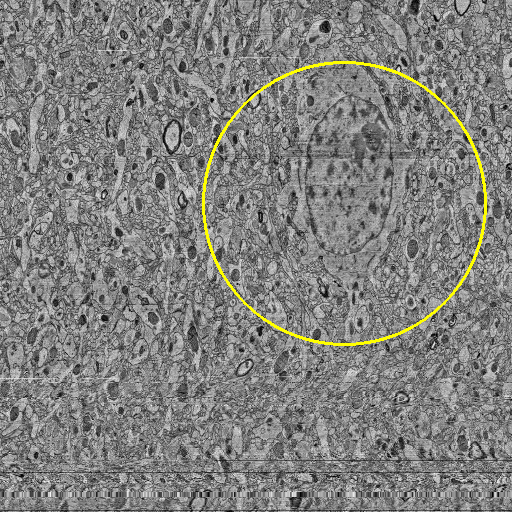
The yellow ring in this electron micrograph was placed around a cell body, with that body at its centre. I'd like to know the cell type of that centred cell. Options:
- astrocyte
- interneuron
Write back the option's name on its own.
astrocyte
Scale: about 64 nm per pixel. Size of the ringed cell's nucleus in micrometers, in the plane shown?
In this plane the nucleus is clearly longer than it is wide, at approximately 11 by 6 micrometres.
